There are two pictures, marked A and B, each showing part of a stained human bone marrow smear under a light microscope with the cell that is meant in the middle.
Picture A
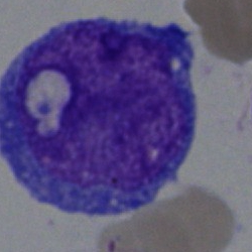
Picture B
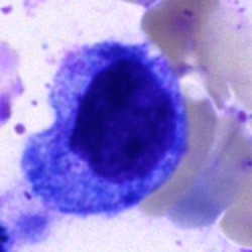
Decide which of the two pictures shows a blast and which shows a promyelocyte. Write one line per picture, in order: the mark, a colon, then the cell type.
A: blast
B: promyelocyte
